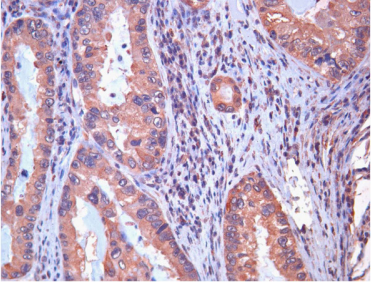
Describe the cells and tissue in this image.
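This field shows an adenocarcinoma in which tumour cells line irregular glandular tubes surrounding open lumina. The tumour cells are columnar to cuboidal with oval nuclei and brown-stained cytoplasm. Between the glands lies a cellular stroma with many elongated and small dark blue nuclei and little brown staining. Some lumina contain pale or brown-tinged material. The glands vary in size and shape, giving a disorganised arrangement unlike normal tissue.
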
